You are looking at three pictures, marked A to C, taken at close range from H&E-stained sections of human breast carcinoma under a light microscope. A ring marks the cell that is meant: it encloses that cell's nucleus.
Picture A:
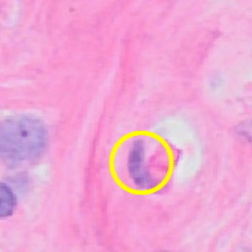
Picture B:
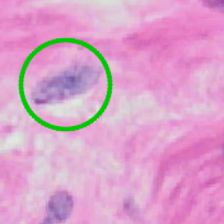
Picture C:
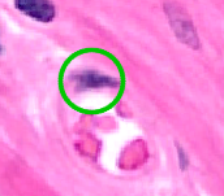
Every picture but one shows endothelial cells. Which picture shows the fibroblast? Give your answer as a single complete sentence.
The cell in picture B is the fibroblast.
